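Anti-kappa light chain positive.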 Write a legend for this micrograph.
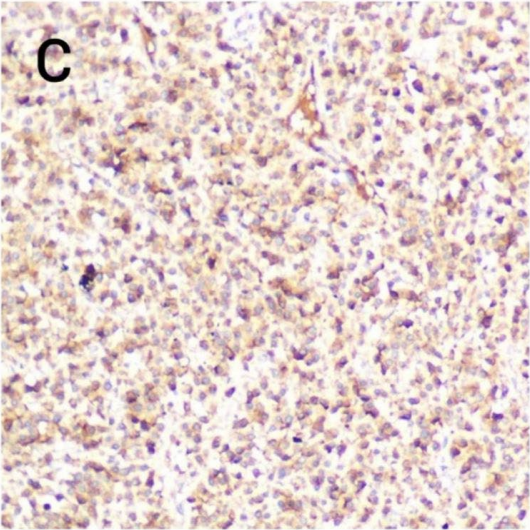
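Densely packed plasma cells fill the field, most with brown staining of the cytoplasm surrounding a round blue nucleus. Cells lie in solid sheets with only scant paler stroma between them and a few thin strands crossing the field.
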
